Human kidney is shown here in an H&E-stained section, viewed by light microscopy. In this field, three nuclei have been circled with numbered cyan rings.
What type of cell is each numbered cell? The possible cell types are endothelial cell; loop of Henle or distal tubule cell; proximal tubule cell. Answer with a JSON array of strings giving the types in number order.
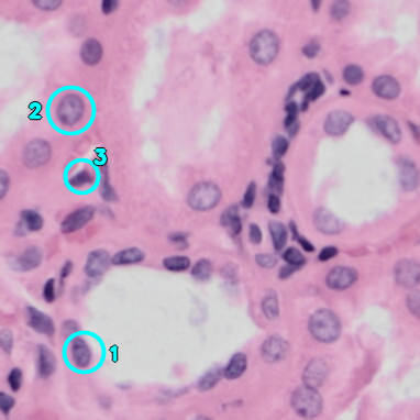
["loop of Henle or distal tubule cell", "proximal tubule cell", "endothelial cell"]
